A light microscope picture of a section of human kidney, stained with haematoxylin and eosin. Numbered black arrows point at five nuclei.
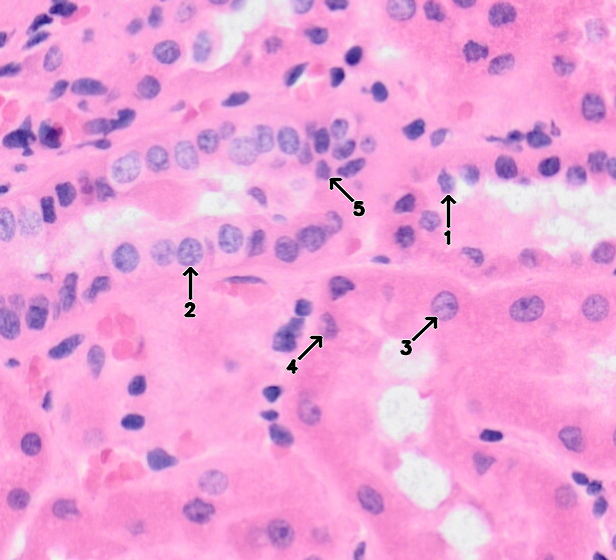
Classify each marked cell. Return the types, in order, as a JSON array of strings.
["loop of Henle or distal tubule cell", "collecting duct cell", "proximal tubule cell", "proximal tubule cell", "collecting duct cell"]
